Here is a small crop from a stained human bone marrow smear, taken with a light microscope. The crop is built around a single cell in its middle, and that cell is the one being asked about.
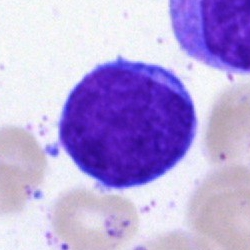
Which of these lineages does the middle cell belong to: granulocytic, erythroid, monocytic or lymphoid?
lymphoid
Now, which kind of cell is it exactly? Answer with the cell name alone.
lymphocyte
